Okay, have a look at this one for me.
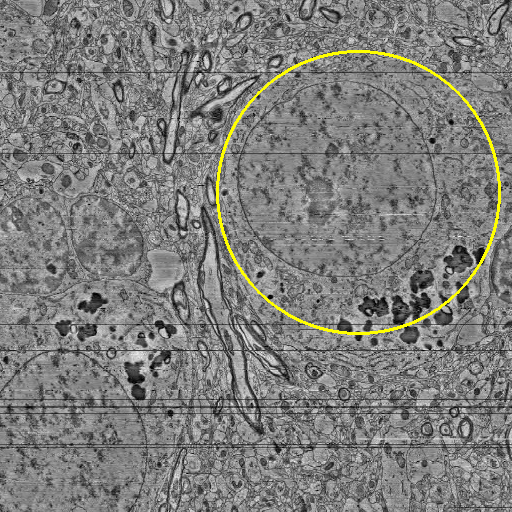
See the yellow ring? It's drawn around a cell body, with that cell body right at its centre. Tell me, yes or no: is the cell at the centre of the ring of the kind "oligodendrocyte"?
No, it belongs to another kind.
